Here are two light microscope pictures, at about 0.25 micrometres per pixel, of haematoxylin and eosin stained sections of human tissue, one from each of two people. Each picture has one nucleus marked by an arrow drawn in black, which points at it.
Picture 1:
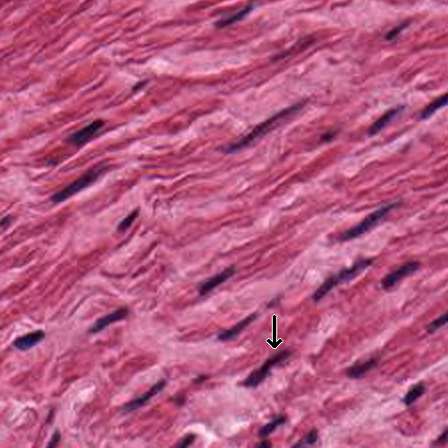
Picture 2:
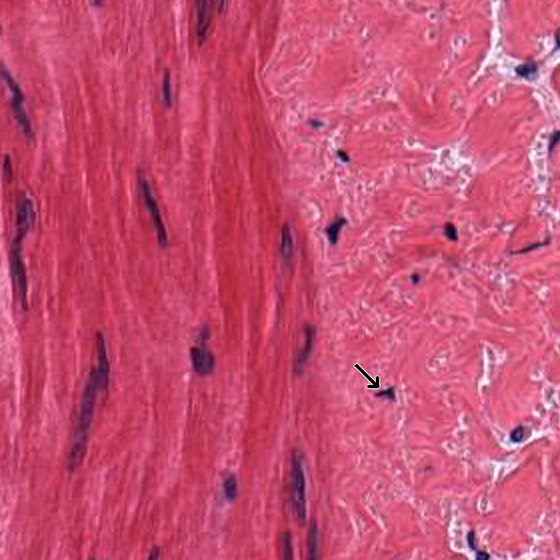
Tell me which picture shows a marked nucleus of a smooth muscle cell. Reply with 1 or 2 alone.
1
